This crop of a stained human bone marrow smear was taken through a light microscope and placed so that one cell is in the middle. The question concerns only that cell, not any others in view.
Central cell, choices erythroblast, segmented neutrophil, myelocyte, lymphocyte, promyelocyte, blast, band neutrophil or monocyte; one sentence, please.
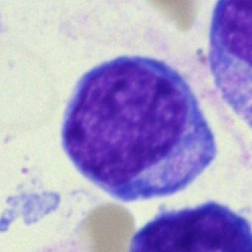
As for the cell in the middle, it is a blast.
